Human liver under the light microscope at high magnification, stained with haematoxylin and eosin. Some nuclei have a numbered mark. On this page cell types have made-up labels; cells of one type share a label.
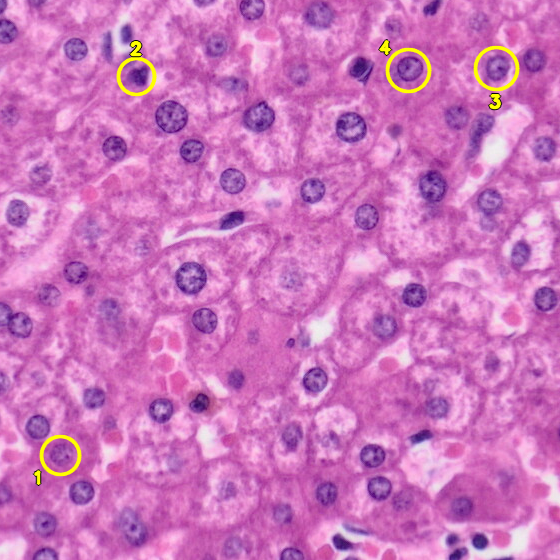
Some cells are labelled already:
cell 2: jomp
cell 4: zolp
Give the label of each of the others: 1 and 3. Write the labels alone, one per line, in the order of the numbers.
zolp
zolp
